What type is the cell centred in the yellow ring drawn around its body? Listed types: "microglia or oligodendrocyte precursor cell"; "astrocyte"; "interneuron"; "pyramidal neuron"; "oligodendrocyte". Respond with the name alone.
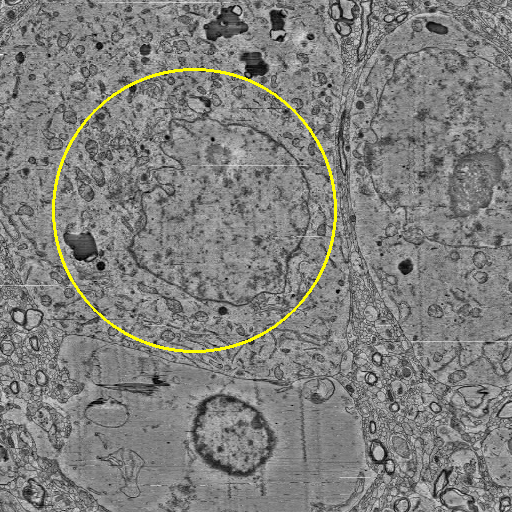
pyramidal neuron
